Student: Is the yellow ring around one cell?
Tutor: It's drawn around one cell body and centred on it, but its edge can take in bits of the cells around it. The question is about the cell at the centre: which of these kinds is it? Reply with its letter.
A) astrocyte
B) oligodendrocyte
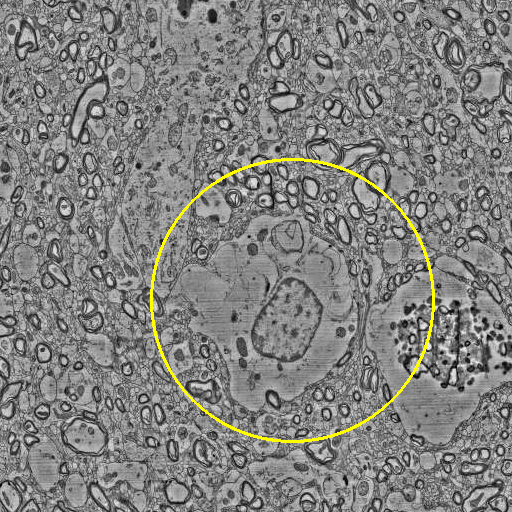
A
